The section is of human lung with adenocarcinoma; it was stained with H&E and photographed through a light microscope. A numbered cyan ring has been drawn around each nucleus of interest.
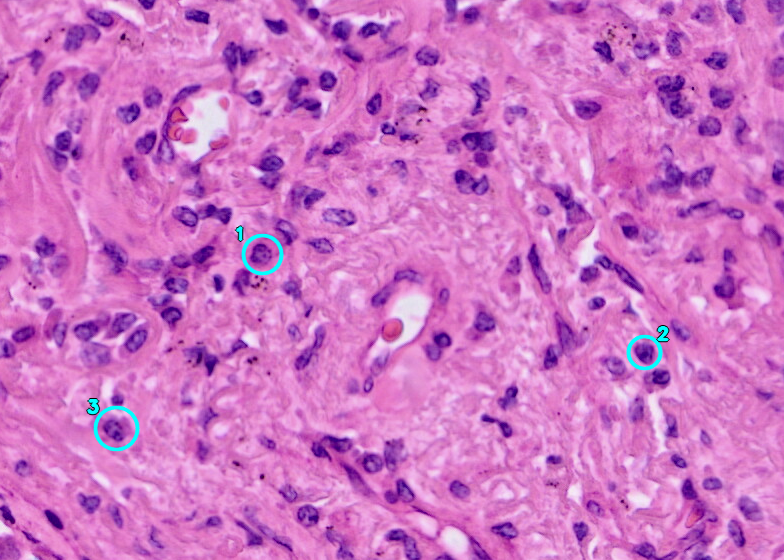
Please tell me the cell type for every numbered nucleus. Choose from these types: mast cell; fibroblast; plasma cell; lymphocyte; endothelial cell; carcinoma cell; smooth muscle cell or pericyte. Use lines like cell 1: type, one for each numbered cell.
cell 1: plasma cell
cell 2: lymphocyte
cell 3: plasma cell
